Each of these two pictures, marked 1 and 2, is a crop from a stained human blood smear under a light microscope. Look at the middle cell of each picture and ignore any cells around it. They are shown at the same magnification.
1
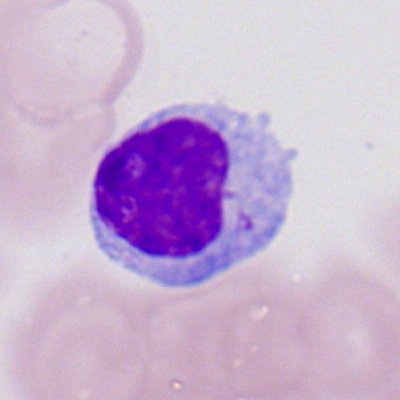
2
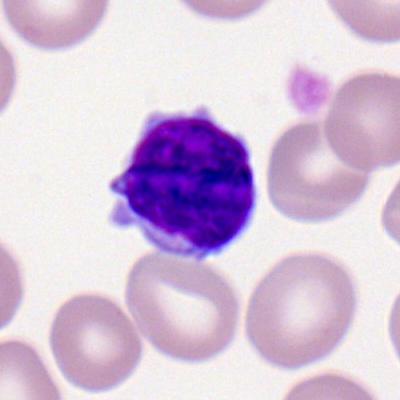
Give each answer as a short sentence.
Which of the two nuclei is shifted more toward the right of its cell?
It is the nucleus in picture 2 that lies further toward the right of its cell.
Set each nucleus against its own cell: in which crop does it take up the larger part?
It is the cell in picture 2 that is filled more by its nucleus.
